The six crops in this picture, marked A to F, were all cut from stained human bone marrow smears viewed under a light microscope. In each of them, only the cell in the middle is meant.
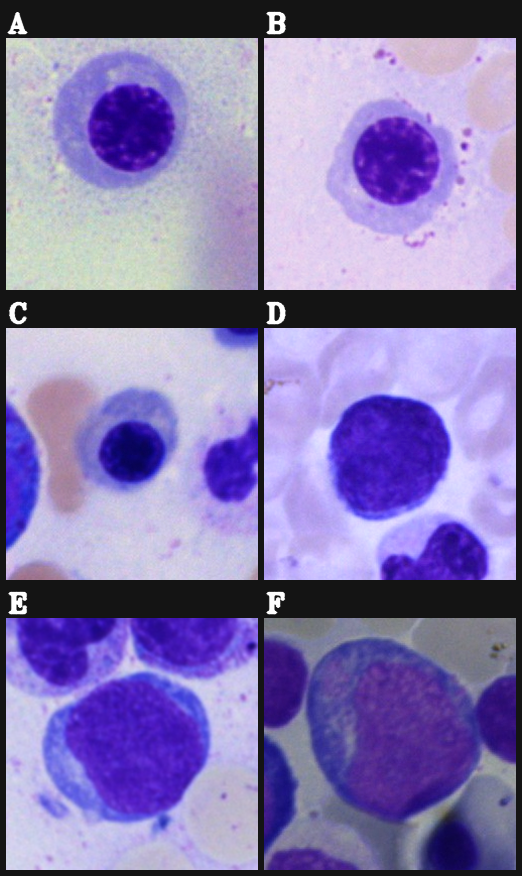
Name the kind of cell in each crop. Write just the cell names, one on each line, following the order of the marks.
erythroblast
erythroblast
erythroblast
blast
blast
blast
